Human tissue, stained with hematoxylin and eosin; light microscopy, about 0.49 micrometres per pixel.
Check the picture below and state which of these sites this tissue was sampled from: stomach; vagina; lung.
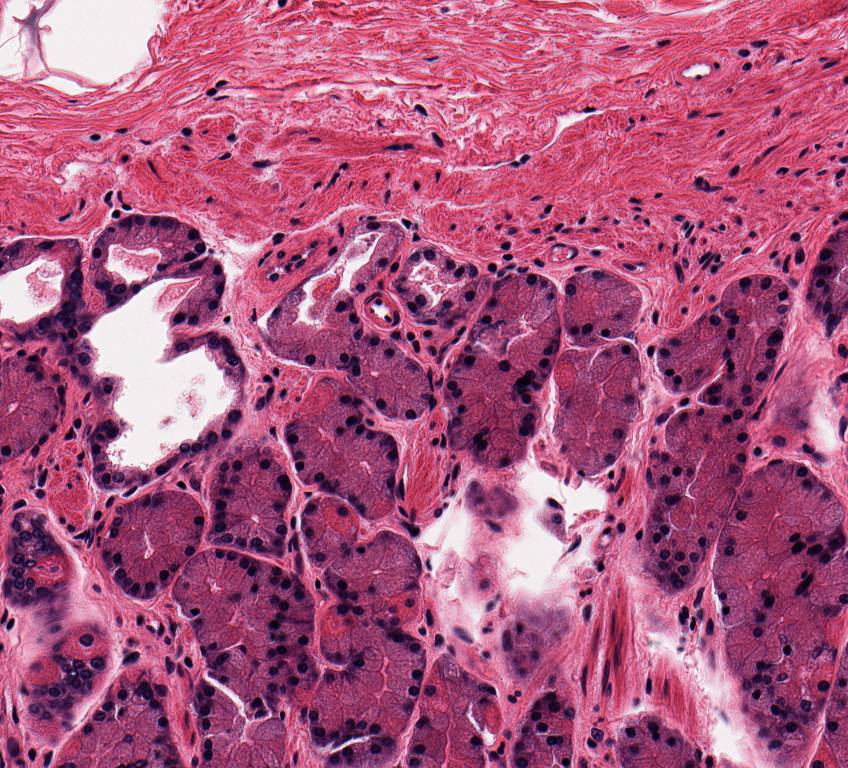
stomach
